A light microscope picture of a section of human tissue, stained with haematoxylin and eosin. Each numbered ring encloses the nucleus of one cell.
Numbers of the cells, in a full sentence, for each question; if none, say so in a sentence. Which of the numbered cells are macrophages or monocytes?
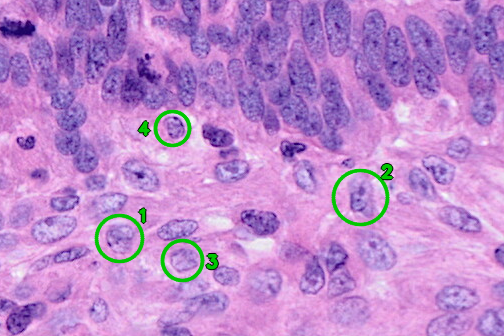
Just one of the numbered cells is a macrophage or monocyte, namely number 4.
